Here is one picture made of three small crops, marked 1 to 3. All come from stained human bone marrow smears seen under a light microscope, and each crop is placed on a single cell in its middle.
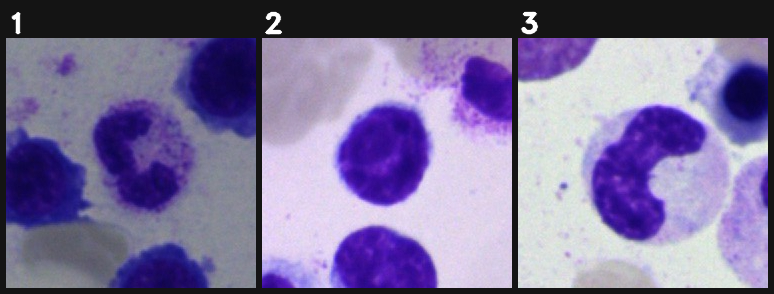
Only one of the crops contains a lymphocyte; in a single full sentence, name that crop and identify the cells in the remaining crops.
Crop 2 presents a lymphocyte, while crop 1 is a segmented neutrophil and crop 3 is a band neutrophil.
